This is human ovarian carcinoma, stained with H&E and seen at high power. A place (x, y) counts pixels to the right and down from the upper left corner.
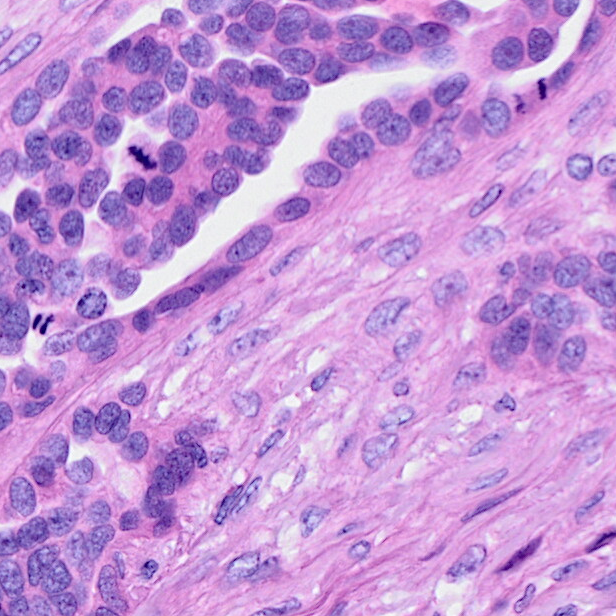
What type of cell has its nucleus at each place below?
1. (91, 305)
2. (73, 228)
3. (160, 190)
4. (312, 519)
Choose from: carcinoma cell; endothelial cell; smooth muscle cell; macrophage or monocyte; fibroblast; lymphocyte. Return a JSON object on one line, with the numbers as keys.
{"1": "macrophage or monocyte", "2": "carcinoma cell", "3": "carcinoma cell", "4": "fibroblast"}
